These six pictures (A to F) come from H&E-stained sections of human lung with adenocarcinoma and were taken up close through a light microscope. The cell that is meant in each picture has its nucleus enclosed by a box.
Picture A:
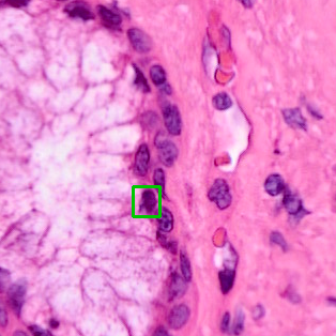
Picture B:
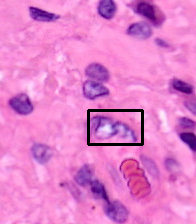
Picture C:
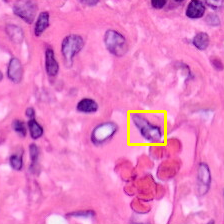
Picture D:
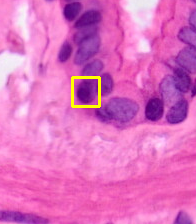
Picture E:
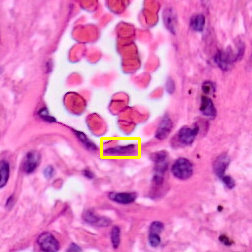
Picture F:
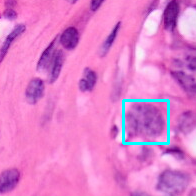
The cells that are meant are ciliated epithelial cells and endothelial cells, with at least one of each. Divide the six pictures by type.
A: ciliated epithelial cell
B: endothelial cell
C: endothelial cell
D: ciliated epithelial cell
E: endothelial cell
F: ciliated epithelial cell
